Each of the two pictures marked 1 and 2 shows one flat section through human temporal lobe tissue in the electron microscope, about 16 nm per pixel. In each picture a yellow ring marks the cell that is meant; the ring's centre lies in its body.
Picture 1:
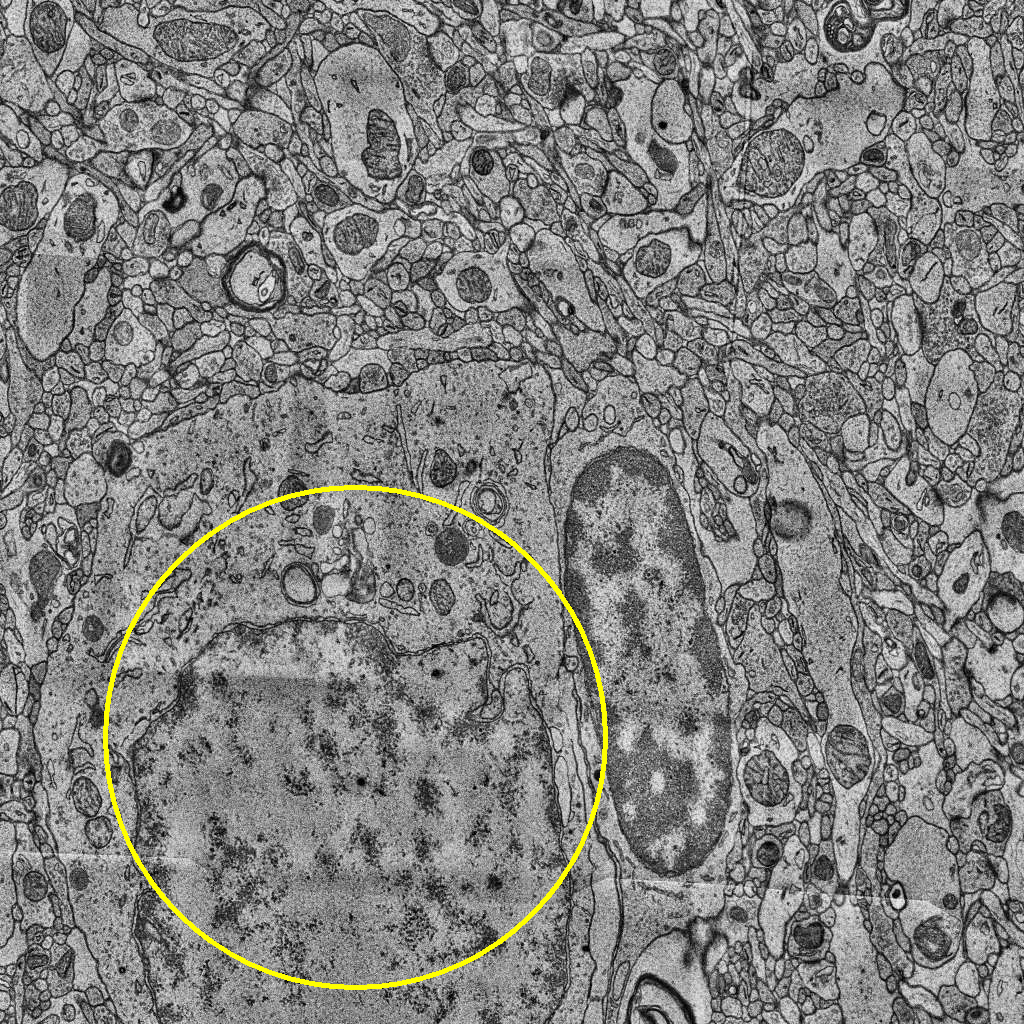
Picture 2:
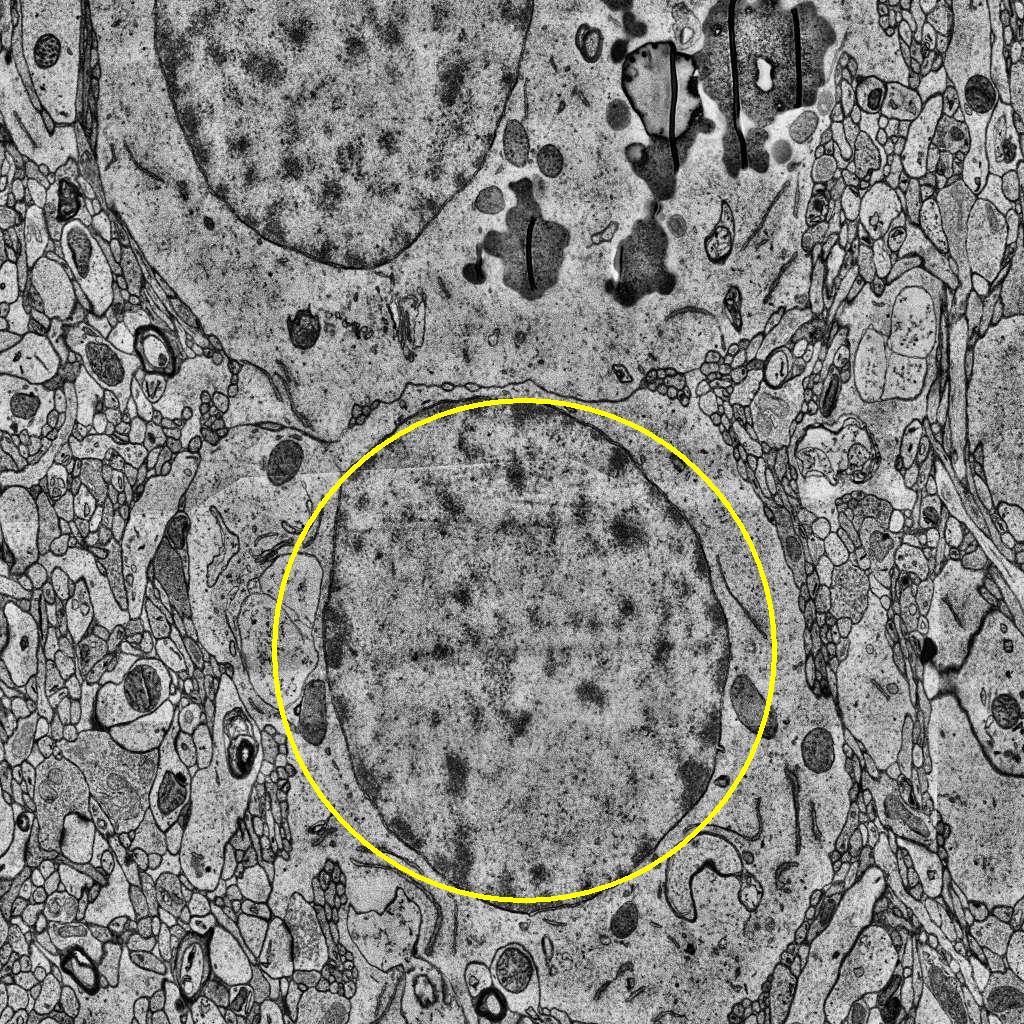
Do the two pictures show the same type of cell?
No. Picture 1 shows an interneuron, but picture 2 shows an astrocyte.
